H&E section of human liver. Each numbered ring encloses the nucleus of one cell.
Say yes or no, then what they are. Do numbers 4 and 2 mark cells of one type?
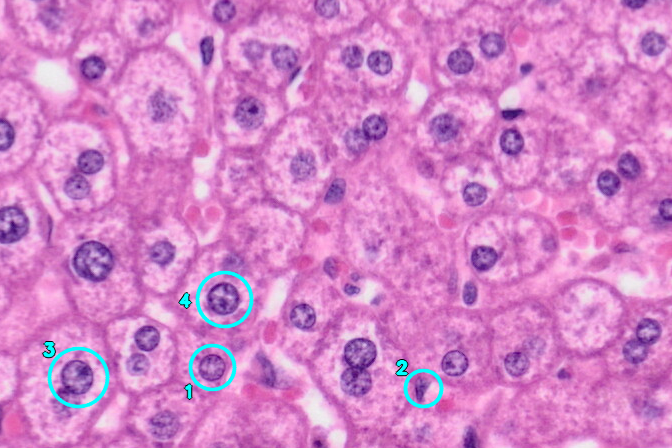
No, cell 4 is recognized as a hepatocyte, and cell 2 as an endothelial cell.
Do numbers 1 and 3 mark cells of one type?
Yes, cells 1 and 3 are both to be classed as hepatocytes.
